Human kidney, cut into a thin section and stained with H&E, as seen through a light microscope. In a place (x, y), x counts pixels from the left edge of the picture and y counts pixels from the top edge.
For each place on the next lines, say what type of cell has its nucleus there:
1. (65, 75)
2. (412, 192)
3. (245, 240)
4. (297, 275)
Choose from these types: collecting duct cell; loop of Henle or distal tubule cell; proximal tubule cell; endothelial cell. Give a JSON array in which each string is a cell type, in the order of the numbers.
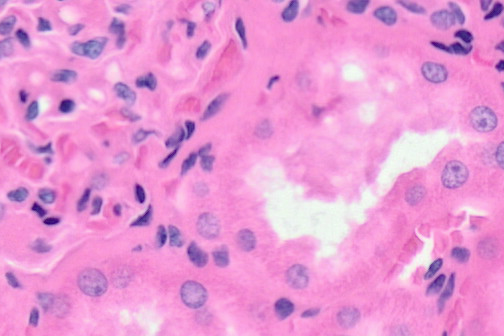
["endothelial cell", "proximal tubule cell", "proximal tubule cell", "proximal tubule cell"]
